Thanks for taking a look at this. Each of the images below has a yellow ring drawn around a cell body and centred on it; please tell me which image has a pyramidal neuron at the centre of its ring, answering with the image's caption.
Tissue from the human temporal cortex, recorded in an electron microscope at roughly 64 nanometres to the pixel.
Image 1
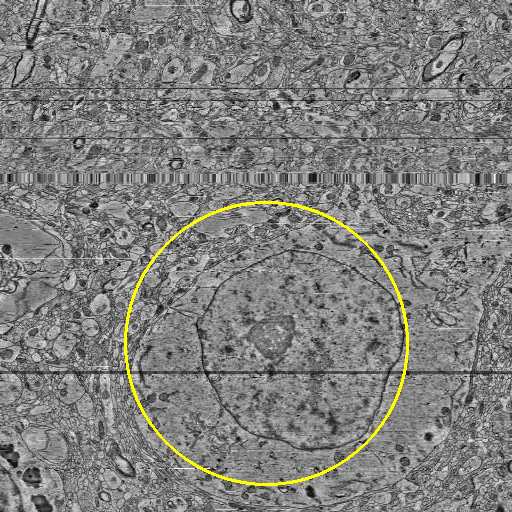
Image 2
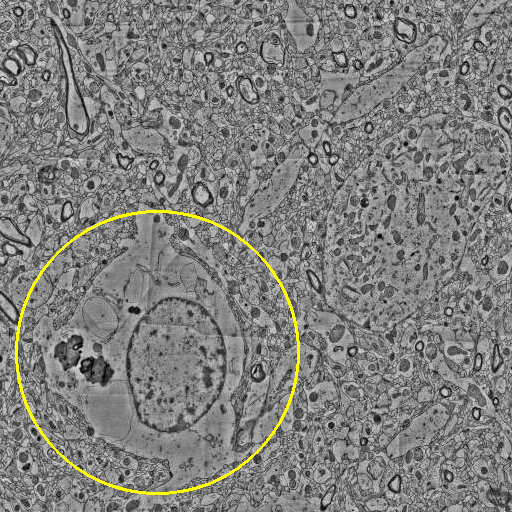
Image 1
